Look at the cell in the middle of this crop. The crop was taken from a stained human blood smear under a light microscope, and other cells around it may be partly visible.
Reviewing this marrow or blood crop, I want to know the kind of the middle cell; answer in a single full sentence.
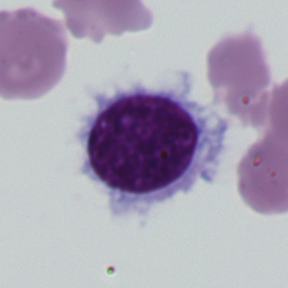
The cell around which this crop is centred is a hairy cell.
